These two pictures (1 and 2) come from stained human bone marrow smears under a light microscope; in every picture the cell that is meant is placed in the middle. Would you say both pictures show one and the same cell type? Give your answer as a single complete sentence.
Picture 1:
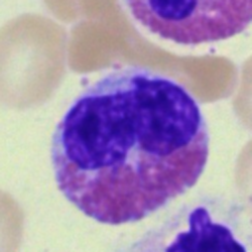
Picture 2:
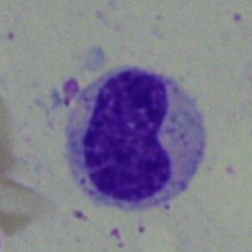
No. Picture 1 shows an eosinophil, but picture 2 shows a metamyelocyte.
